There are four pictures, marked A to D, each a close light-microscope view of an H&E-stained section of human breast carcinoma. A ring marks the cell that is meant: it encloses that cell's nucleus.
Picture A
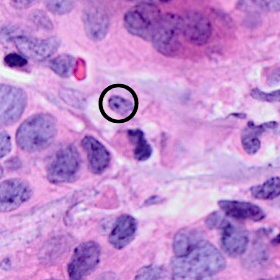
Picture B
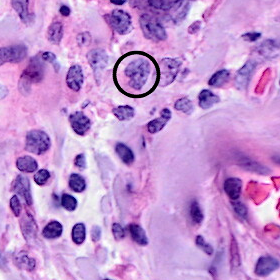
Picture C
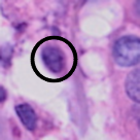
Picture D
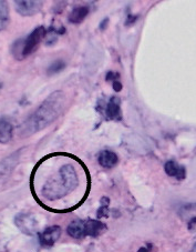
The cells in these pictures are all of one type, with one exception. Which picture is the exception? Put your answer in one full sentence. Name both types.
The others show “macrophages, monocytes or dendritic cells”, but picture A shows a mast cell.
